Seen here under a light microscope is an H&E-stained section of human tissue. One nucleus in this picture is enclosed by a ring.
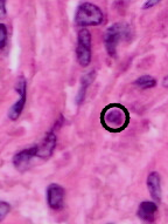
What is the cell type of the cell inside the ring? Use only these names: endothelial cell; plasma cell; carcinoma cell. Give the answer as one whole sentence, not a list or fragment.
Among the cells in this section, the cell inside the ring is a plasma cell.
